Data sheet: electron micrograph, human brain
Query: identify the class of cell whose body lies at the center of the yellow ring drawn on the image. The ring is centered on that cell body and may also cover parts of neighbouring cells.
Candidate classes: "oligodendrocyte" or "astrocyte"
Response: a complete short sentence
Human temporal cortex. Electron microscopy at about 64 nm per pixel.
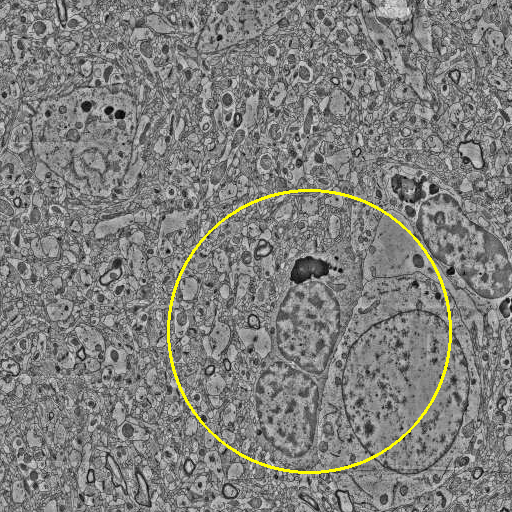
At the center of the ring lies an oligodendrocyte.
